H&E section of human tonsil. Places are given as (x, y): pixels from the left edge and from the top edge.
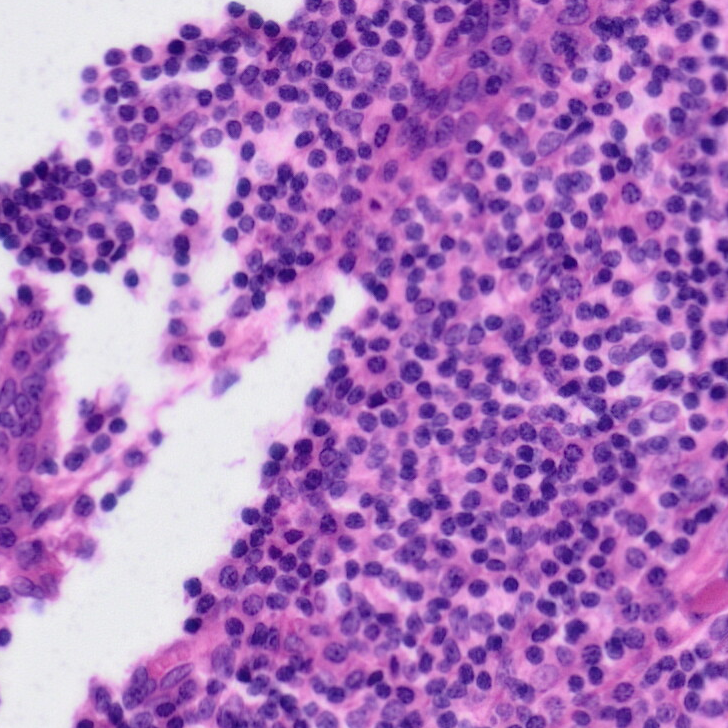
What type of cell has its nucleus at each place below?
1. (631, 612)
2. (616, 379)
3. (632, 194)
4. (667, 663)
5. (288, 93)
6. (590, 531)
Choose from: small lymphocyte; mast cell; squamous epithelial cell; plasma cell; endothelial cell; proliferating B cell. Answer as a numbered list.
1. plasma cell
2. small lymphocyte
3. plasma cell
4. small lymphocyte
5. small lymphocyte
6. small lymphocyte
